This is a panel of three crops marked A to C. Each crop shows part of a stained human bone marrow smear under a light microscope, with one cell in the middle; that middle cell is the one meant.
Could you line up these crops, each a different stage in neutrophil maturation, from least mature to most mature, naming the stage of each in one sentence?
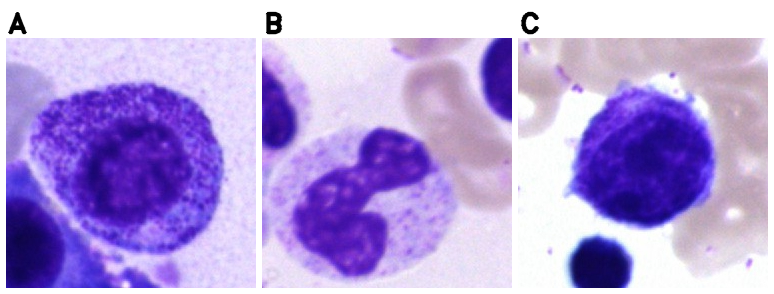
The maturation sequence, earliest to latest, reads crop A (a promyelocyte), crop C (a myelocyte) and crop B (a band neutrophil).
